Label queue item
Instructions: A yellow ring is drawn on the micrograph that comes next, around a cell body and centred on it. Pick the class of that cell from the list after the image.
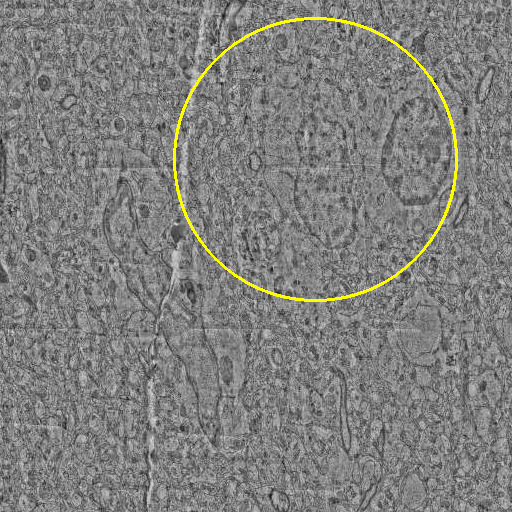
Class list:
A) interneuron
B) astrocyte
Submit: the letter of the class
B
